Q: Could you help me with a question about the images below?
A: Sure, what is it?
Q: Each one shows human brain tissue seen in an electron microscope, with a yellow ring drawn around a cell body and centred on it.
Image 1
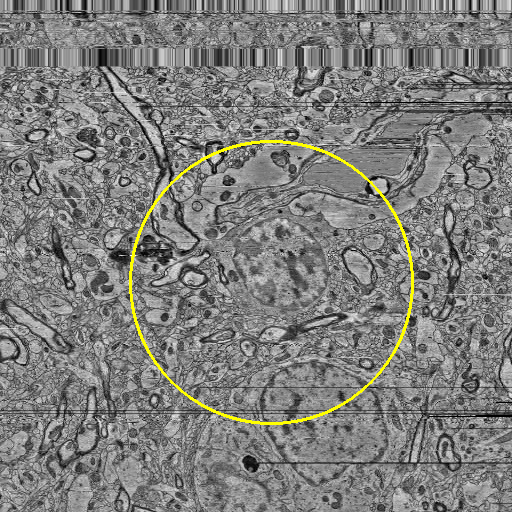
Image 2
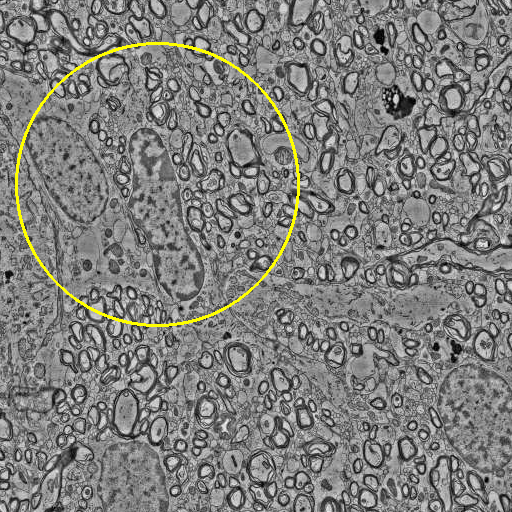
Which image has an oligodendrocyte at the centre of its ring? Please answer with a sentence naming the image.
Image 1 has it at the centre of its ring.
